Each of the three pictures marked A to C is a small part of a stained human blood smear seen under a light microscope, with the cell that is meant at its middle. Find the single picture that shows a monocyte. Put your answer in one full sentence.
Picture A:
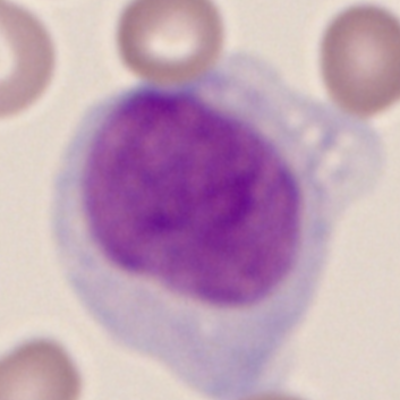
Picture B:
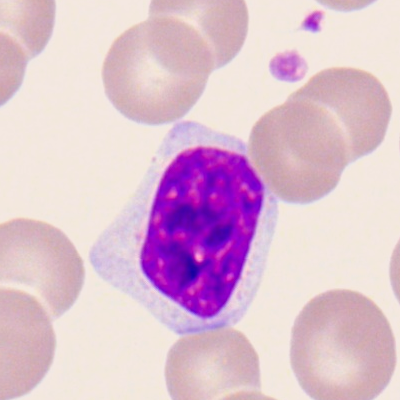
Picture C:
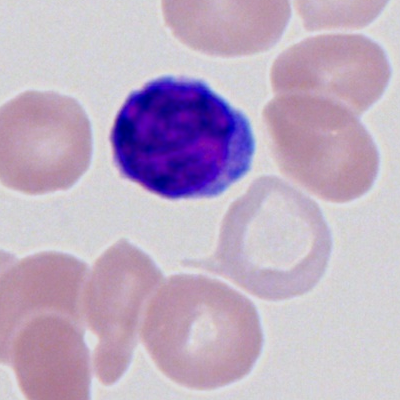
Picture A is the one that shows the monocyte.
